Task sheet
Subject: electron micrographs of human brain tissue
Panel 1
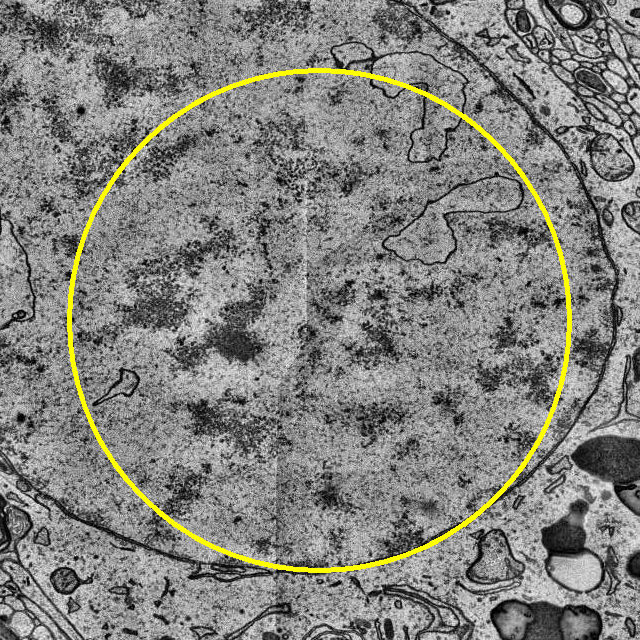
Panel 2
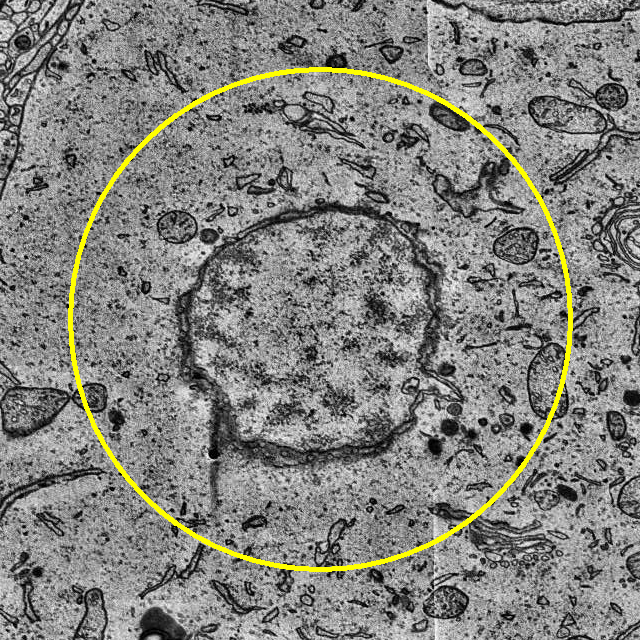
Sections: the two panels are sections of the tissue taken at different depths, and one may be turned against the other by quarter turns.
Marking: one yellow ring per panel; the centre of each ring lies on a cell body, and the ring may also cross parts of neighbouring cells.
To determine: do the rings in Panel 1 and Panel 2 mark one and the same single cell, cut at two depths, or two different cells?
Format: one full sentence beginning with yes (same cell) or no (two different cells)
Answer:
No, one ring marks one cell and the other ring marks another.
